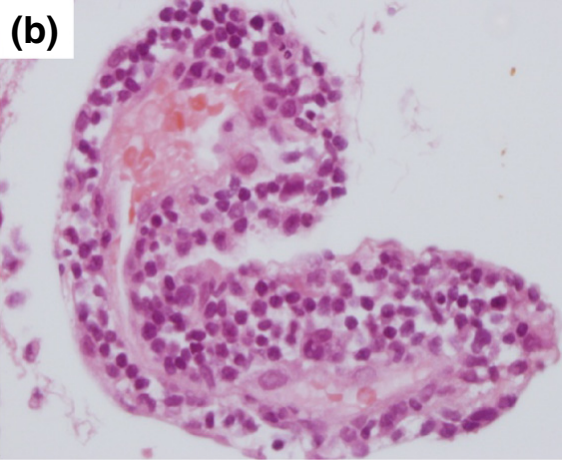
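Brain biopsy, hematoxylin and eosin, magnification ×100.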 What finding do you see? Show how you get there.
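Perivascular lymphocytic infiltrations. Many small round dark-purple nuclei are packed in a cuff around a central vessel. Red blood cells lie in the vessel lumen at the centre of the cuff. The infiltrating cells have scant cytoplasm and uniform round nuclei.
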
